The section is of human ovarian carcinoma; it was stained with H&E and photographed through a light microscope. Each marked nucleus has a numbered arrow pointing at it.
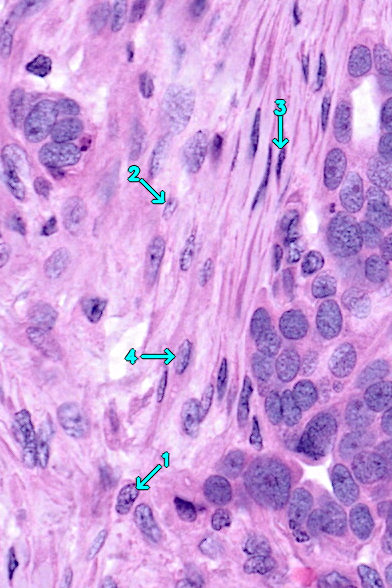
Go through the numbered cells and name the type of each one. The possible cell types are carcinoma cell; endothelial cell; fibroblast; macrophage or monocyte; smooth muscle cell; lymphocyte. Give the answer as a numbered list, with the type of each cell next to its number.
1. macrophage or monocyte
2. fibroblast
3. fibroblast
4. fibroblast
